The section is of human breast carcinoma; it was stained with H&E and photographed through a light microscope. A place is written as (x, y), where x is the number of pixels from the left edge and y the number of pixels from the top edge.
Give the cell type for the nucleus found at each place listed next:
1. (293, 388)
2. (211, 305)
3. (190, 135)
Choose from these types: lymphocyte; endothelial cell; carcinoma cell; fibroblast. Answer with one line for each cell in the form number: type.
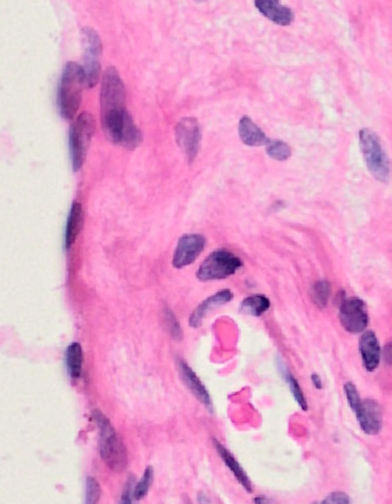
1: endothelial cell
2: endothelial cell
3: fibroblast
